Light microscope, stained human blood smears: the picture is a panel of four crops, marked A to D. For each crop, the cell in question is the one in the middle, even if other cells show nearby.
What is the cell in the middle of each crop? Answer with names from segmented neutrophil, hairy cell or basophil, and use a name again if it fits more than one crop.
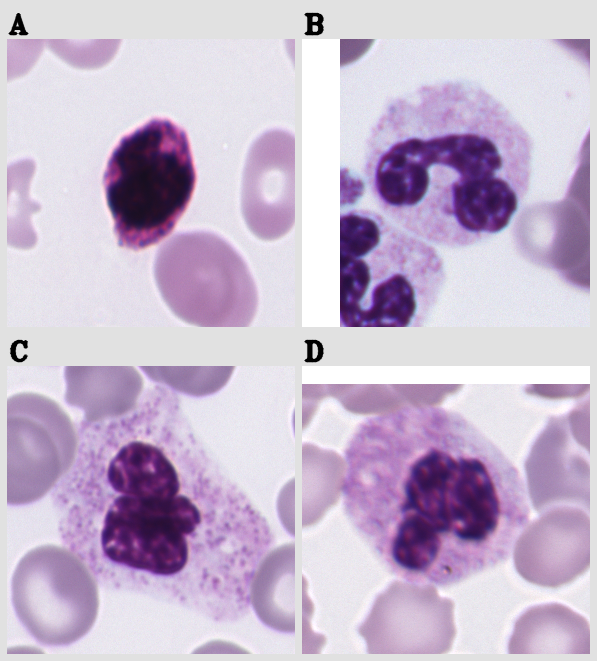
A: basophil
B: segmented neutrophil
C: segmented neutrophil
D: segmented neutrophil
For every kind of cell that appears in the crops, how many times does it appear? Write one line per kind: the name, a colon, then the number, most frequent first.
segmented neutrophil: 3
basophil: 1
